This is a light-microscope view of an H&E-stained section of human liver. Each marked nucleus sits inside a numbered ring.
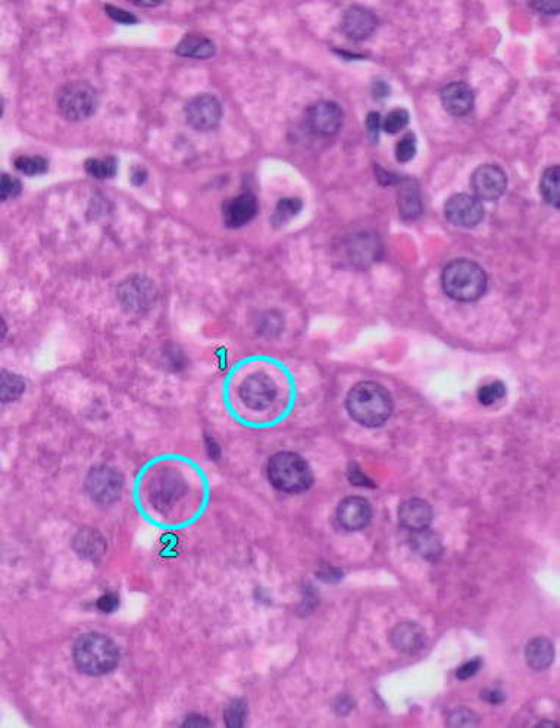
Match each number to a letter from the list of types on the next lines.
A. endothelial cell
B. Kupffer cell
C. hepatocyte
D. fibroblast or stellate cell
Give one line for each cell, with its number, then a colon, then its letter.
1: C
2: A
